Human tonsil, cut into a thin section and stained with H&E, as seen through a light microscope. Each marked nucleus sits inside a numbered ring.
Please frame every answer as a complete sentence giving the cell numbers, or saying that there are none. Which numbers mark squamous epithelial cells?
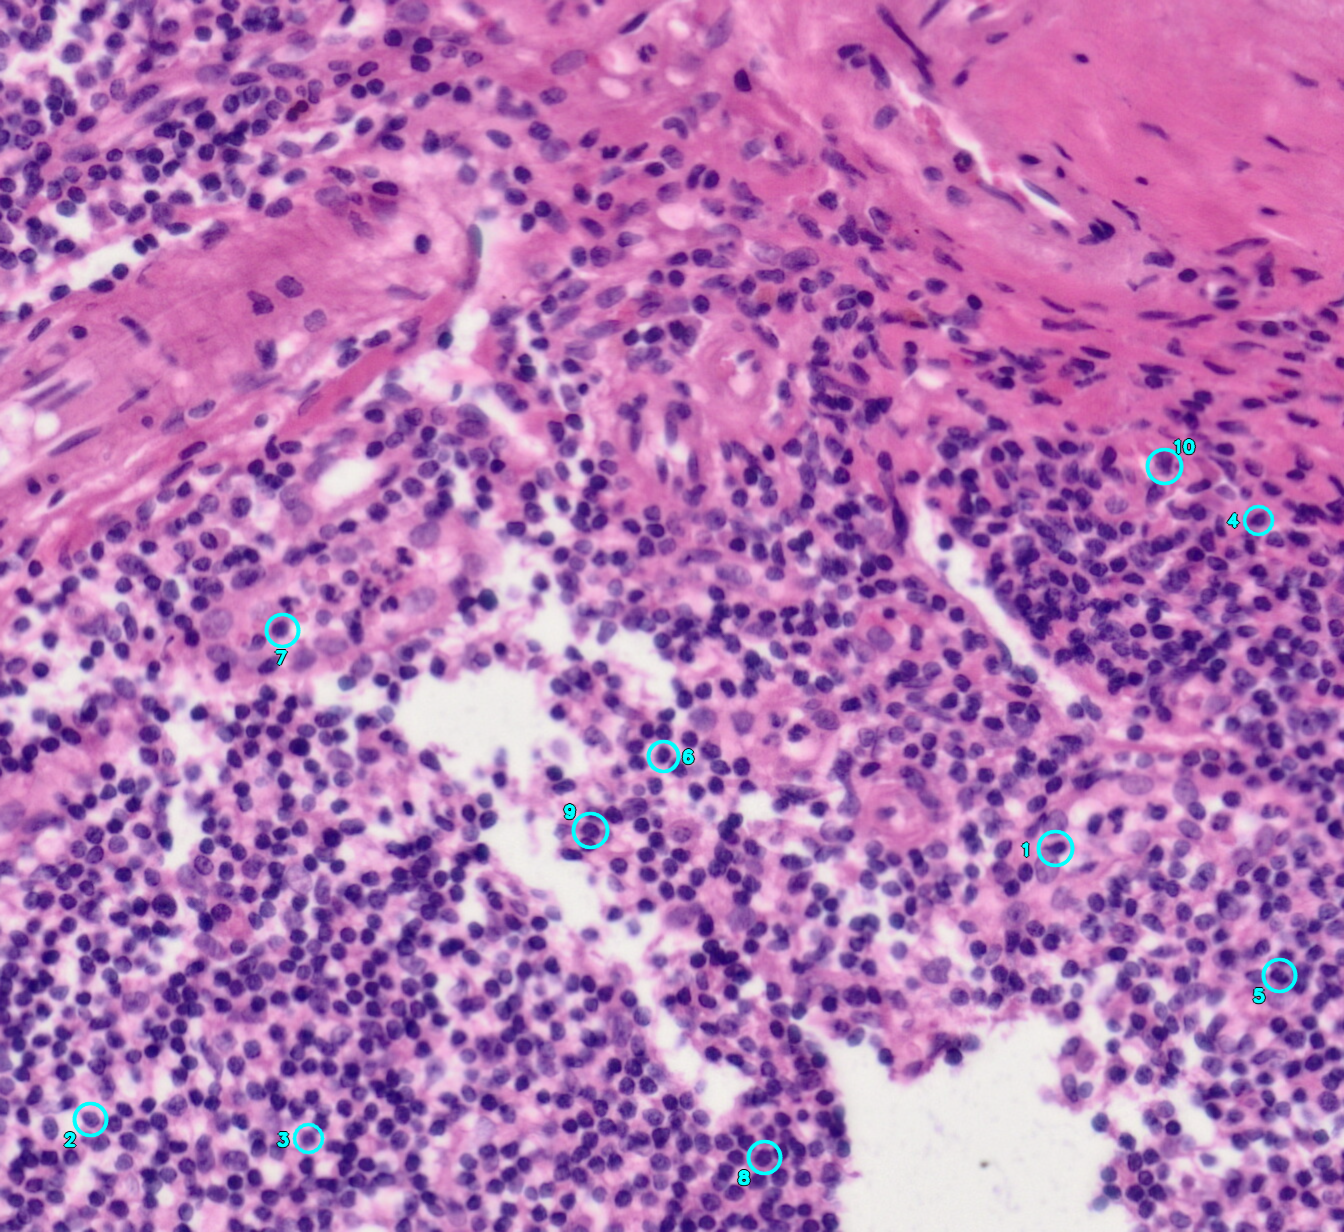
No squamous epithelial cells are present among the numbered cells.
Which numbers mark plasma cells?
Cell number 4 alone is a plasma cell; the rest are not.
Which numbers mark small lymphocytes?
Identified as small lymphocytes are the cells numbered 2, 3, 5, 6, 8 and 9.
